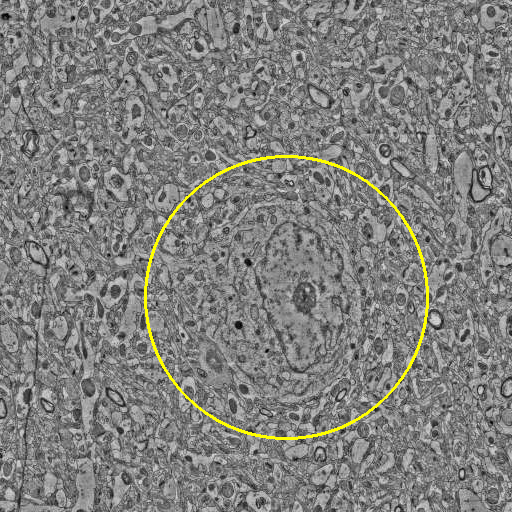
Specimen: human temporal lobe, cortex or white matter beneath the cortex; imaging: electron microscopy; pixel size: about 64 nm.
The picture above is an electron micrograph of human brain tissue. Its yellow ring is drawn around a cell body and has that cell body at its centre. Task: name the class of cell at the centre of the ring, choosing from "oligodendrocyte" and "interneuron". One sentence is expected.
The ring surrounds the body of an interneuron.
